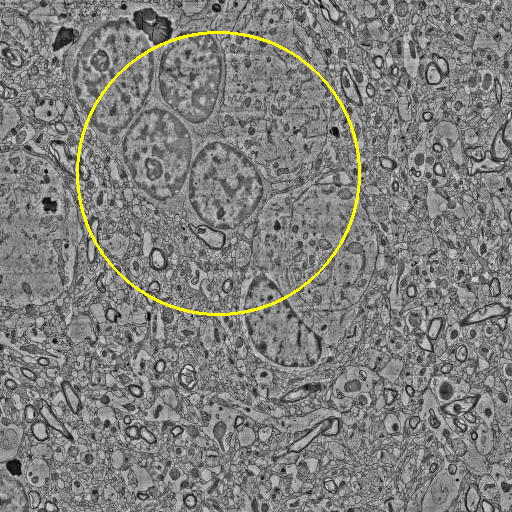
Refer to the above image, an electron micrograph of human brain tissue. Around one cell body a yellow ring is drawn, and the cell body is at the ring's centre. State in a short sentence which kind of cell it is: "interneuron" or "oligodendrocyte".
The centre of the ring falls on an oligodendrocyte.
